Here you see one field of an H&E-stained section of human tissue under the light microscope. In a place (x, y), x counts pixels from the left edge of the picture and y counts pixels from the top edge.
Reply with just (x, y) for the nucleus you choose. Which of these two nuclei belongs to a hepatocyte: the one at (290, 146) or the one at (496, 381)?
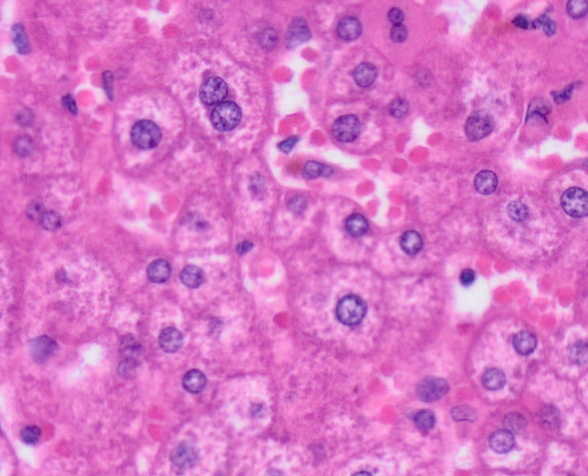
(496, 381)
